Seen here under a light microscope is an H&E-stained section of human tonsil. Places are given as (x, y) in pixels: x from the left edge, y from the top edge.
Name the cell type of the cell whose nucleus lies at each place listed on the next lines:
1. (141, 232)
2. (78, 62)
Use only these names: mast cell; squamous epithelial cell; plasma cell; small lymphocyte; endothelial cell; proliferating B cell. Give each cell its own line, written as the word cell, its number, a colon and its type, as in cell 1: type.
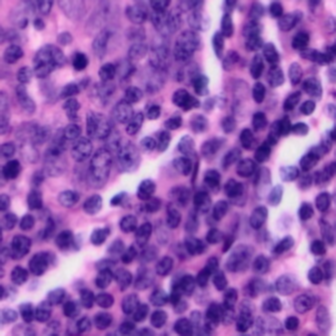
cell 1: small lymphocyte
cell 2: proliferating B cell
